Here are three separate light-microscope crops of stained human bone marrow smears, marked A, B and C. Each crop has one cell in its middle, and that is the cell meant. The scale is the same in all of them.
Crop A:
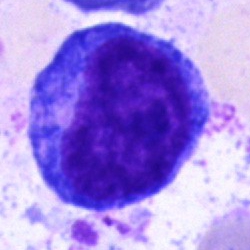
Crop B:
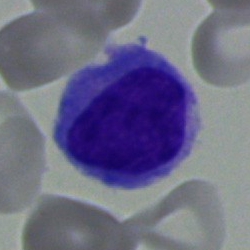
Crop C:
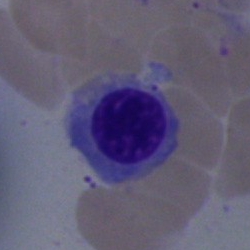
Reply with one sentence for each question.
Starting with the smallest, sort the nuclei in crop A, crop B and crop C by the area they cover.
From the smallest up, the order is C, B, A.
